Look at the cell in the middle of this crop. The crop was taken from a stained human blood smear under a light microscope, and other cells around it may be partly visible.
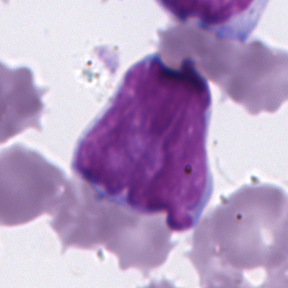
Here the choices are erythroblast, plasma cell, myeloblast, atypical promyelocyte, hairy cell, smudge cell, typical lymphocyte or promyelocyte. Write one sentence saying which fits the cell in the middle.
The middle cell in this particular crop is a myeloblast.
